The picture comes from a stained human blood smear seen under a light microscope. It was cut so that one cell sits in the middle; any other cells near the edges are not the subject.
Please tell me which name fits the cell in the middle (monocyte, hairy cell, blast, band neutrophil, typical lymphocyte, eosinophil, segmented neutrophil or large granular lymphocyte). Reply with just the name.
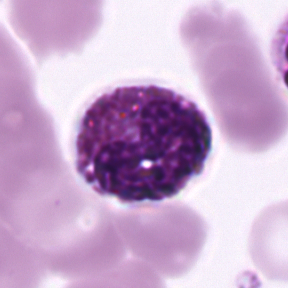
eosinophil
